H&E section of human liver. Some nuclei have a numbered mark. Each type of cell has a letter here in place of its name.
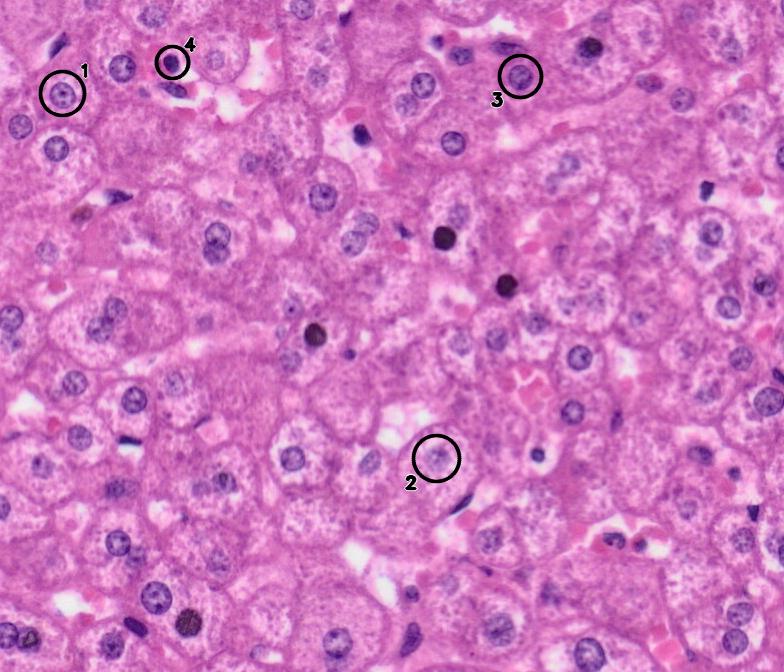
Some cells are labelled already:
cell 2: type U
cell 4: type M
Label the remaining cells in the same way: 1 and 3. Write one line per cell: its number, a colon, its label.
1: type U
3: type U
